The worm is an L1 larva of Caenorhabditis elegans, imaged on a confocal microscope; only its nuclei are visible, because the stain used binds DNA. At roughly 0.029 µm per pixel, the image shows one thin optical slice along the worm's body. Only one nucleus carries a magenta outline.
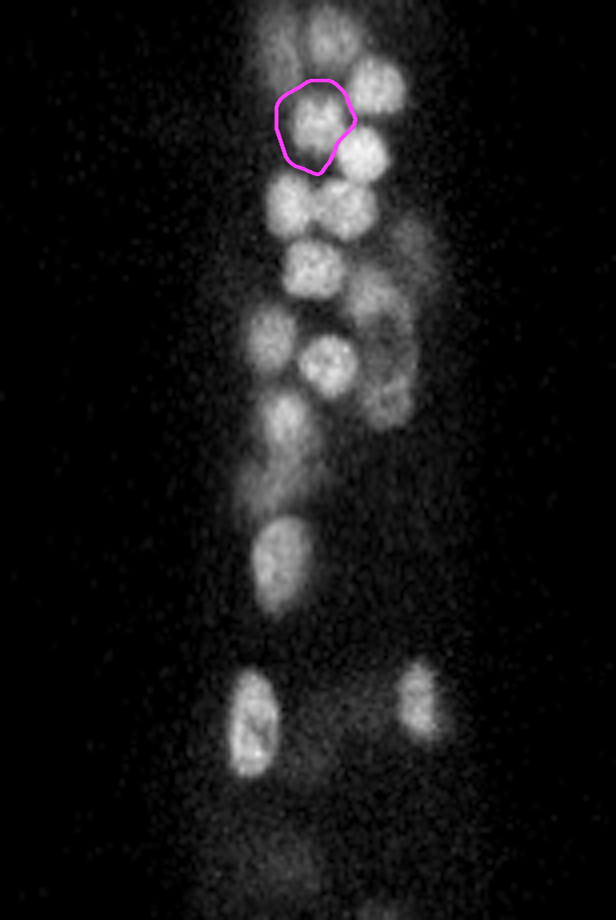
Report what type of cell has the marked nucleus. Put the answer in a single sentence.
It is the nucleus of a neuron.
